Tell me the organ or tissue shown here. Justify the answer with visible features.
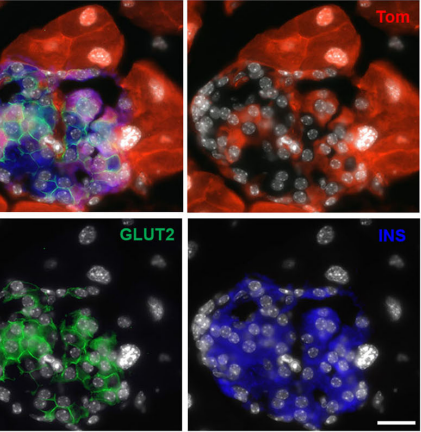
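Islet. A rounded cluster of small cells with round nuclei is set apart from the surrounding larger cells. Green lines outline the membranes of many cells in the cluster. Blue fills the cytoplasm throughout the cluster.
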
